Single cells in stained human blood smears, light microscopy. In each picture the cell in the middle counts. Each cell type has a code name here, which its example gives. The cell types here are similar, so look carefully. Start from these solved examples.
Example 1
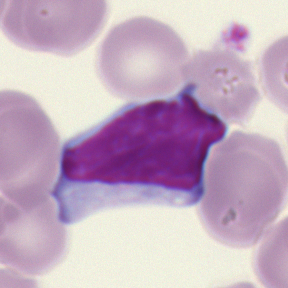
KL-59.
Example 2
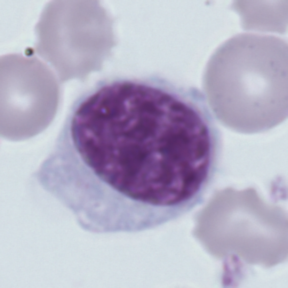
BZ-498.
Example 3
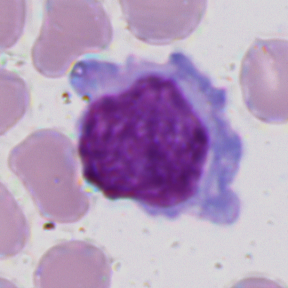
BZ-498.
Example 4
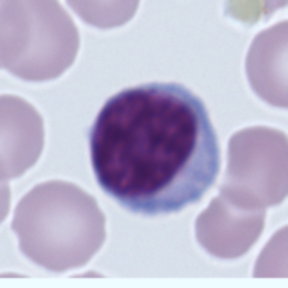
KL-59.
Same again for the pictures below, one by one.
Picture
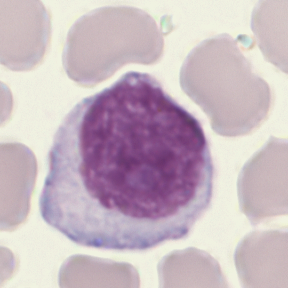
BZ-498.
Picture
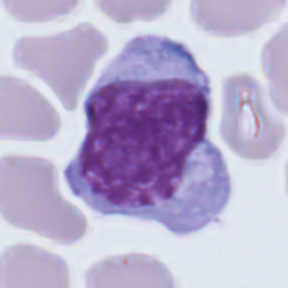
BZ-498.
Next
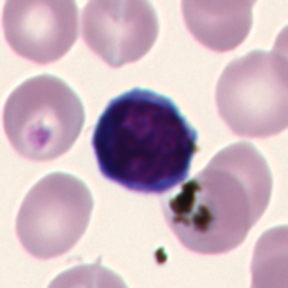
KL-59.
